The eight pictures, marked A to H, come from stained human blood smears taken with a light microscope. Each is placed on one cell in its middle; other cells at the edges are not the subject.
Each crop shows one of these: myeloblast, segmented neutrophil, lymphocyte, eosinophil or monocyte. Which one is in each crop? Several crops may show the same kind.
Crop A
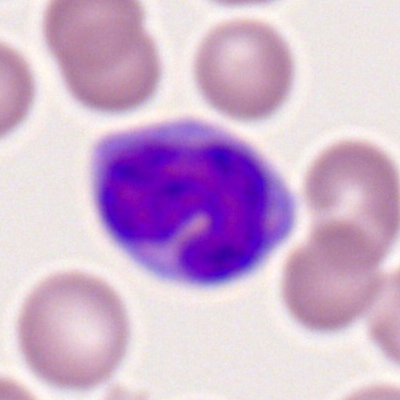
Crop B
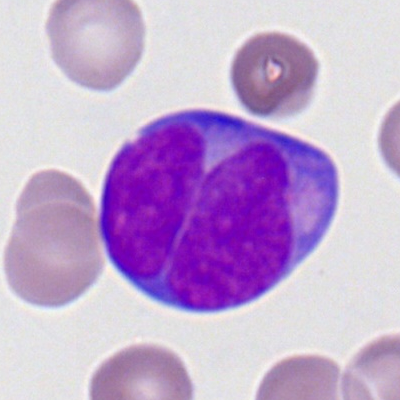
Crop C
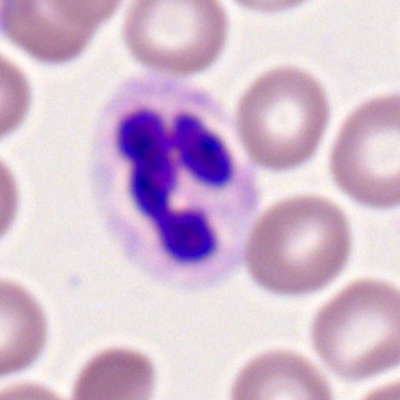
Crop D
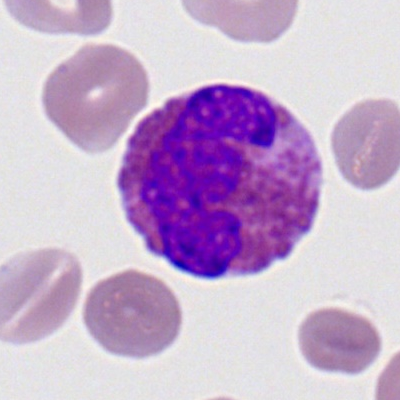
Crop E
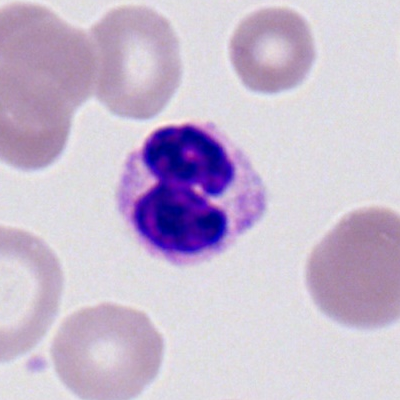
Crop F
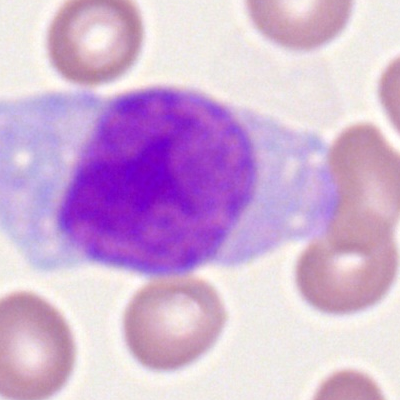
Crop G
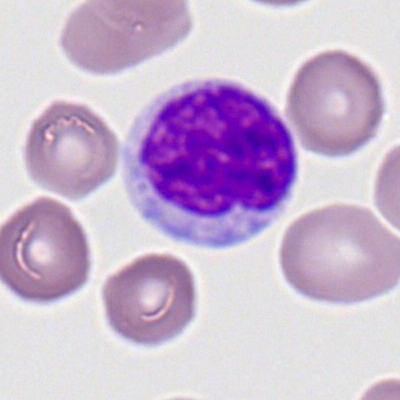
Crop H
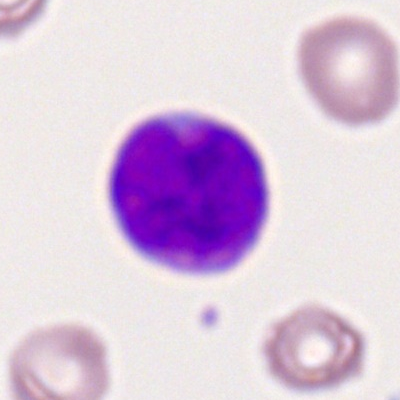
A: monocyte
B: myeloblast
C: segmented neutrophil
D: eosinophil
E: segmented neutrophil
F: monocyte
G: lymphocyte
H: myeloblast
